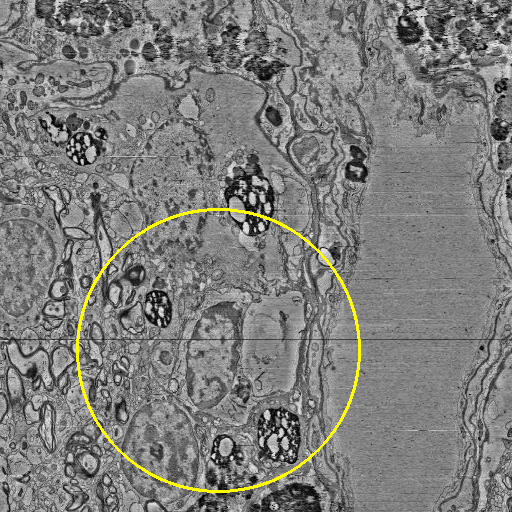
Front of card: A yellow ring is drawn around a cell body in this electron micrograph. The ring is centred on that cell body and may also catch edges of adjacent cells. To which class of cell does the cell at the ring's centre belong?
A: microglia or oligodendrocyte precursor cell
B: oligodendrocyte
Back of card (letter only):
A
